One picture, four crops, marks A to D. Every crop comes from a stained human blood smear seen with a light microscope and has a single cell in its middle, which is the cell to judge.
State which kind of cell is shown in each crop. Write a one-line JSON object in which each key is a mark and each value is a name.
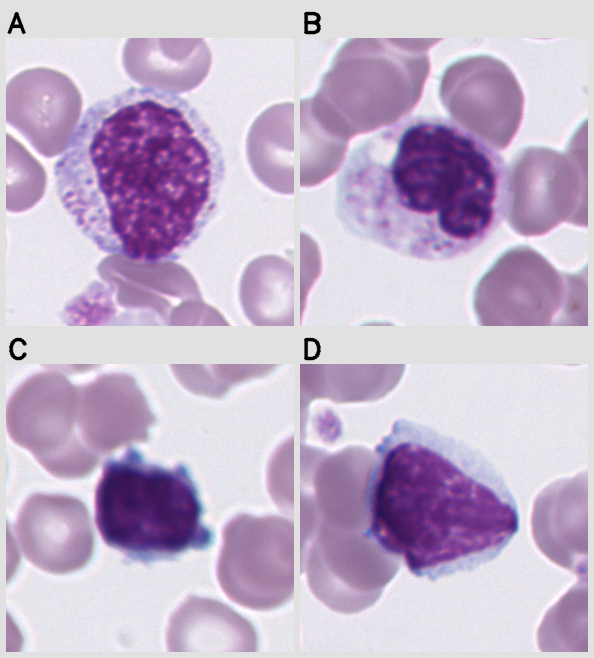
{"A": "myelocyte", "B": "segmented neutrophil", "C": "typical lymphocyte", "D": "typical lymphocyte"}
